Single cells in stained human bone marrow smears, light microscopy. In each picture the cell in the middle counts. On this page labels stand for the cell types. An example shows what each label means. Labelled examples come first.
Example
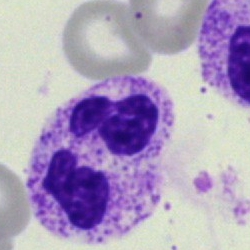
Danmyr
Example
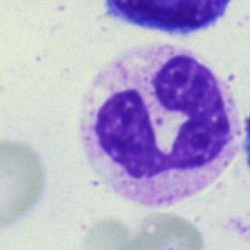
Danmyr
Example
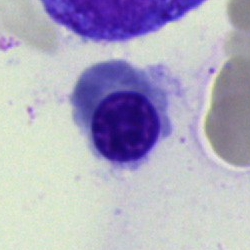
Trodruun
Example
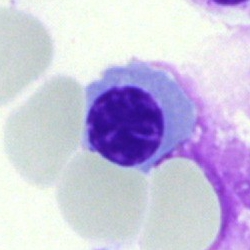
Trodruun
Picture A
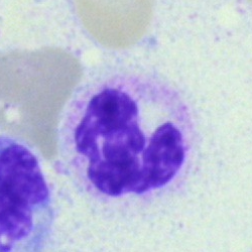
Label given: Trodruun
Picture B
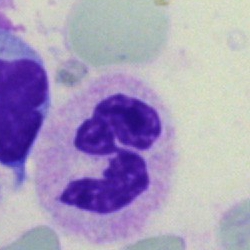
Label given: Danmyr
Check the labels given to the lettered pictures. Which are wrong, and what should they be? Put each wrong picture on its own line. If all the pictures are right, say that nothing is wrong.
Wrong: A (Trodruun); correct: Danmyr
